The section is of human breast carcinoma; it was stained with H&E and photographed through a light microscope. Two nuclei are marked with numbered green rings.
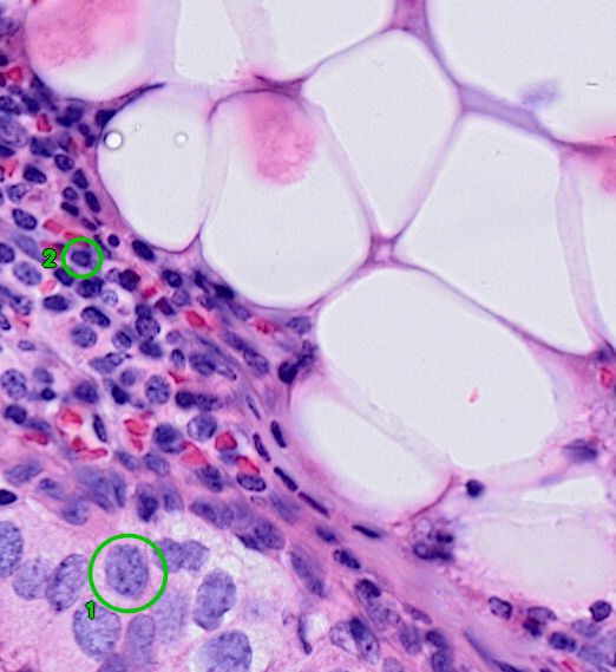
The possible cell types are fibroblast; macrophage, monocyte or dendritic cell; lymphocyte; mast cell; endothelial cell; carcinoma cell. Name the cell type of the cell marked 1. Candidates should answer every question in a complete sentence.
That cell with number 1 is a carcinoma cell.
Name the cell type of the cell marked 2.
In this section, the cell tagged 2 is a lymphocyte.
